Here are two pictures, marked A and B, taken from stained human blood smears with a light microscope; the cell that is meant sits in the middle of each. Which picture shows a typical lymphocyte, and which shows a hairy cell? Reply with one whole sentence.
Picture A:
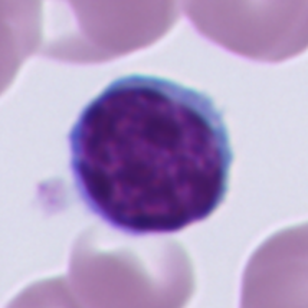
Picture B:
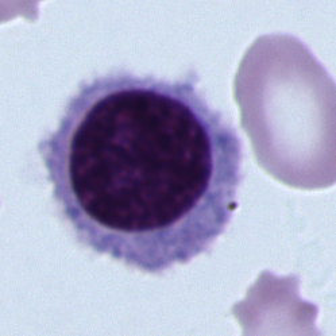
In picture A the cell is a typical lymphocyte; in picture B, a hairy cell.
